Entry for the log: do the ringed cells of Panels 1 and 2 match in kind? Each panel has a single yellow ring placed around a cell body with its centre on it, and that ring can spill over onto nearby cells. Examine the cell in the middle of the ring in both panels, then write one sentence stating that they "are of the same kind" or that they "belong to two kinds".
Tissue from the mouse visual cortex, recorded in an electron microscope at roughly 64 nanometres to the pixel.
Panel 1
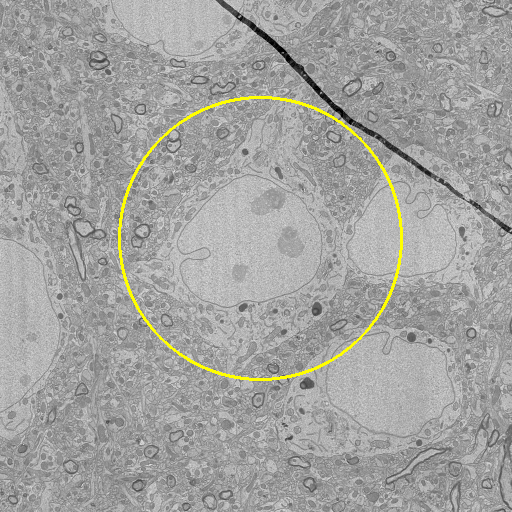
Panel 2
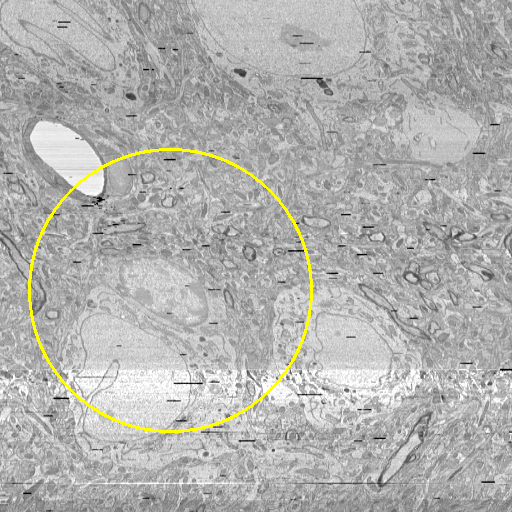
The centre cell of Panel 1's ring and that of Panel 2's ring belong to two kinds.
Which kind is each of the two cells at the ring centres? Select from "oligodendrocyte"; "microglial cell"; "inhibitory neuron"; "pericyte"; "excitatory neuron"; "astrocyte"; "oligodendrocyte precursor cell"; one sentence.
The cell at the centre of the ring is an excitatory neuron in the first picture and an oligodendrocyte in the second.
